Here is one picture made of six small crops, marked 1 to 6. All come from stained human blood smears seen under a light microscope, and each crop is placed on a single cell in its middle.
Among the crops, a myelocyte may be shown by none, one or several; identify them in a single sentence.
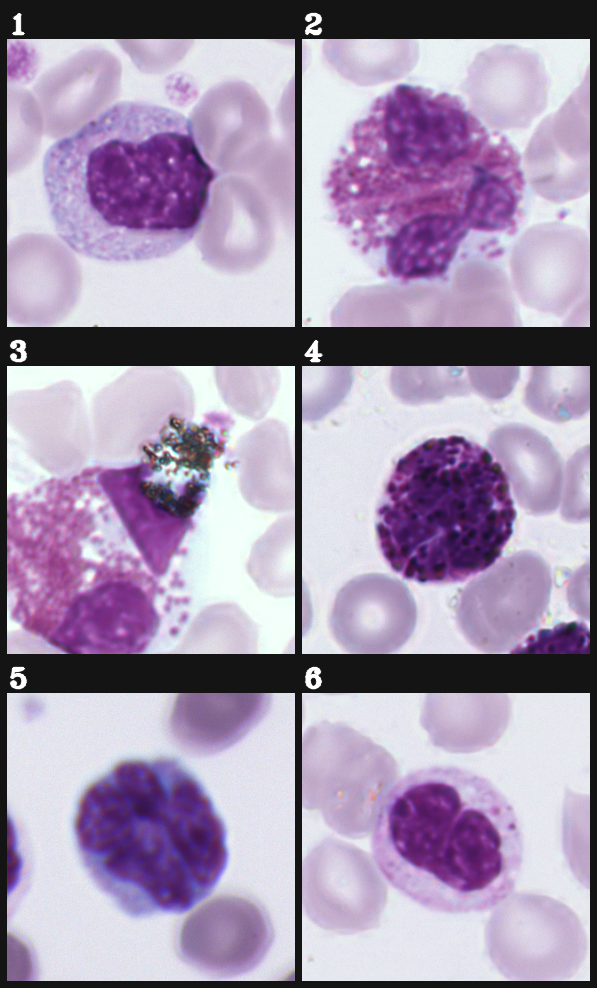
The only crop showing a myelocyte is crop 1.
